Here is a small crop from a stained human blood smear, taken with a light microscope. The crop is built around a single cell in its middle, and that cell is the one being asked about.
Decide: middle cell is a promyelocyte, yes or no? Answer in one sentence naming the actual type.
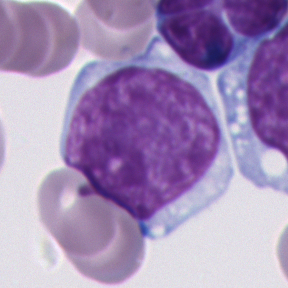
No, the central cell is not a promyelocyte; it is a myeloblast.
